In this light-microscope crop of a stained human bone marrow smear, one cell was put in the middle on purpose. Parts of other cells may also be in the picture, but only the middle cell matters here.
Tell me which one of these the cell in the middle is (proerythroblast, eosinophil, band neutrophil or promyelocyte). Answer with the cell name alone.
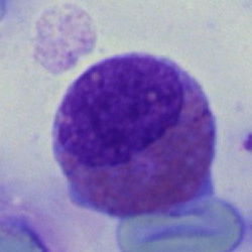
eosinophil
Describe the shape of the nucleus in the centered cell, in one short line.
The nuclear material is gathered into one compact round, oval or kidney-shaped mass.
